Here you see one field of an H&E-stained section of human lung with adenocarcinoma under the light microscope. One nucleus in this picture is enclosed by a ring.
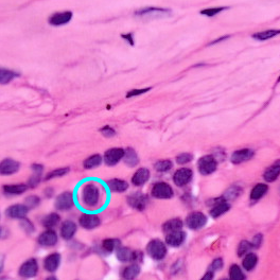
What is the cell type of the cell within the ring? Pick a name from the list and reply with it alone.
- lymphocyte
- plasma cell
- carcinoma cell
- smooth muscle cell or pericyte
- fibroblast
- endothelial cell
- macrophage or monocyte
lymphocyte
